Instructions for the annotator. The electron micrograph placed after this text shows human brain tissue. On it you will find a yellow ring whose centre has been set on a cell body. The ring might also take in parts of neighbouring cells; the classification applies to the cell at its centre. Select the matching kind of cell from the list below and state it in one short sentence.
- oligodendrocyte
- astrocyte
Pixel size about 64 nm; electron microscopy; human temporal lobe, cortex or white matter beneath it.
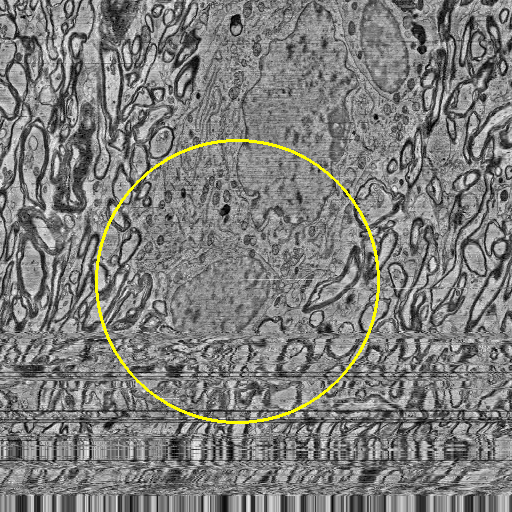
The ring is drawn on the cell body of an oligodendrocyte.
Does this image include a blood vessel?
No, there is no blood vessel.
